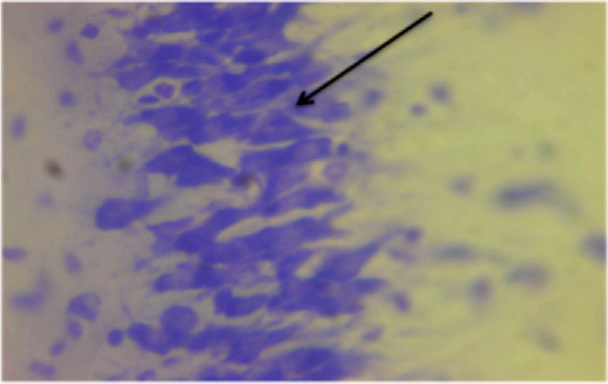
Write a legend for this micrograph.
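This is a cell layer of the hippocampus in which the neuronal cell bodies stain deep purple. The cells are packed closely into a continuous band that runs down the left part of the field. Many cell bodies are elongated or triangular and are aligned roughly in the same direction. To the right of the band lies a pale, yellowish neuropil that holds only a few scattered small stained nuclei.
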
